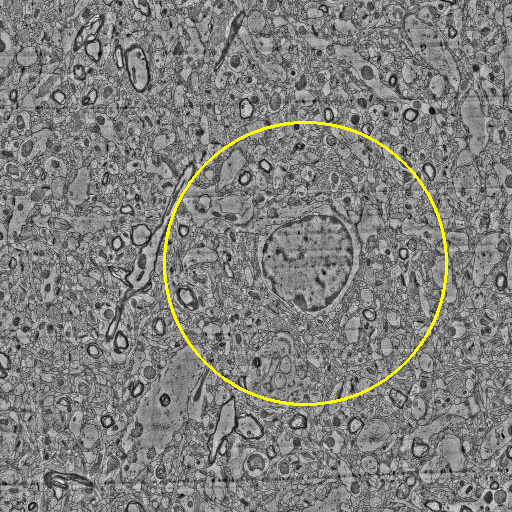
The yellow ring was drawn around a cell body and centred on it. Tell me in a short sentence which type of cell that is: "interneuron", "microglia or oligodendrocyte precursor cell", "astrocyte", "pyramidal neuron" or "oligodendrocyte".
The cell at the ring's centre is a microglial cell or oligodendrocyte precursor cell.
